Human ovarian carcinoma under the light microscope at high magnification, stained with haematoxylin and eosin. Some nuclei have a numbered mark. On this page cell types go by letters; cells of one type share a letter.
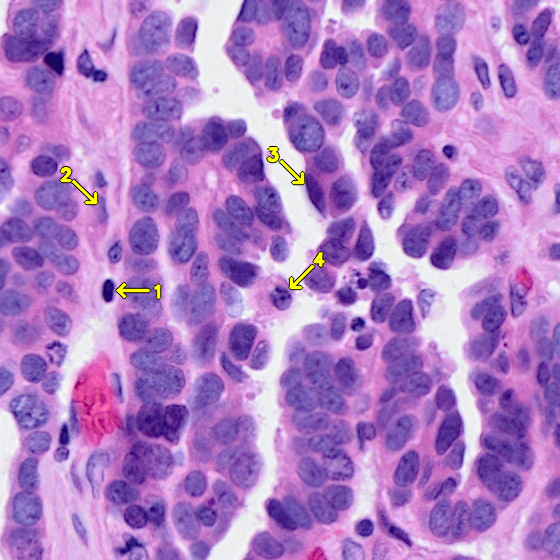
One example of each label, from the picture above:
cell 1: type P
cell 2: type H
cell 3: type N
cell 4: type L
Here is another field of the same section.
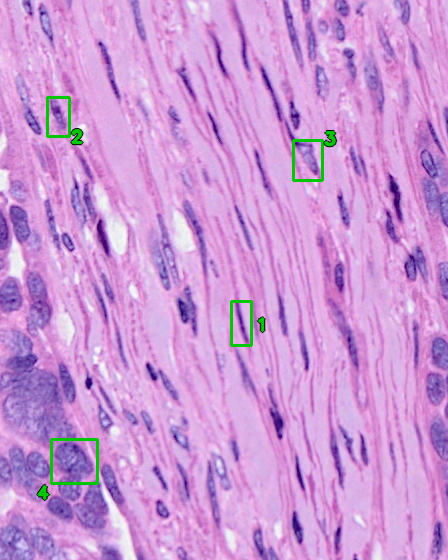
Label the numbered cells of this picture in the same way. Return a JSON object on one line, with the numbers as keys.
{"1": "type H", "2": "type H", "3": "type H", "4": "type N"}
